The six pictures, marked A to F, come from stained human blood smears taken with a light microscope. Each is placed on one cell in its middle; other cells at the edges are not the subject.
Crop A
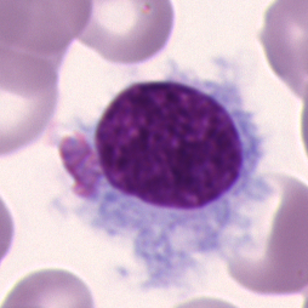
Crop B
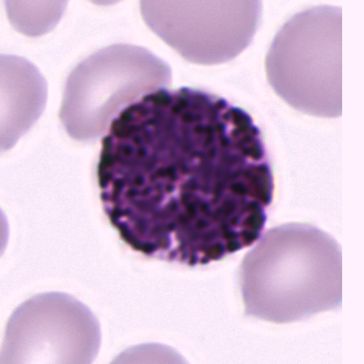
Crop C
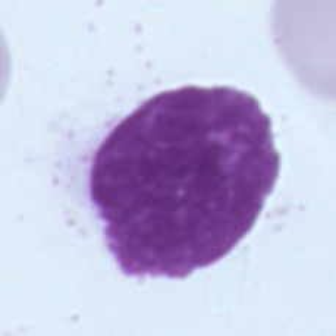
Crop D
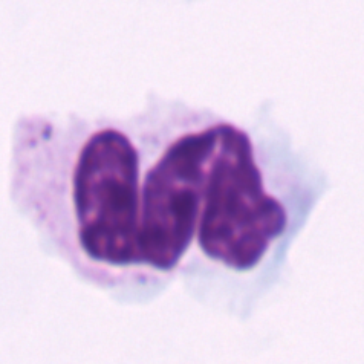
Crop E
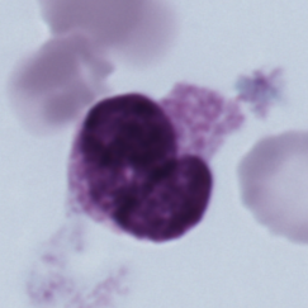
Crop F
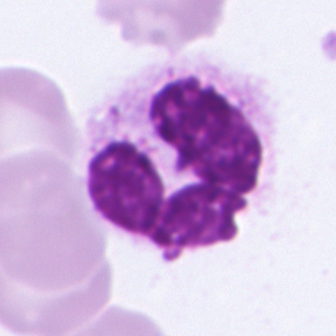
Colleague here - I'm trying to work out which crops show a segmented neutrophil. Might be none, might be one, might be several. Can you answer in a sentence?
In crops D, E and F, the centrally located cells represent segmented neutrophils.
